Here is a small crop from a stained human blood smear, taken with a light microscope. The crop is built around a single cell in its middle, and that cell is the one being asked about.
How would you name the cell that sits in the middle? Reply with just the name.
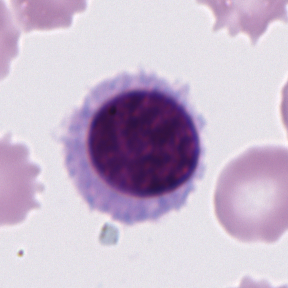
hairy cell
